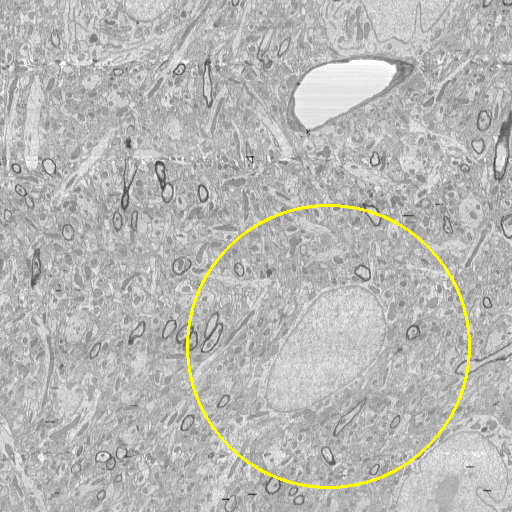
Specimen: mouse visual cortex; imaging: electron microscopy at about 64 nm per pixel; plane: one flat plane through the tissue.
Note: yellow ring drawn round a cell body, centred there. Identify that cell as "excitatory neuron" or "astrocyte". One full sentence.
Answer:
The cell in the middle of the ring is an astrocyte.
